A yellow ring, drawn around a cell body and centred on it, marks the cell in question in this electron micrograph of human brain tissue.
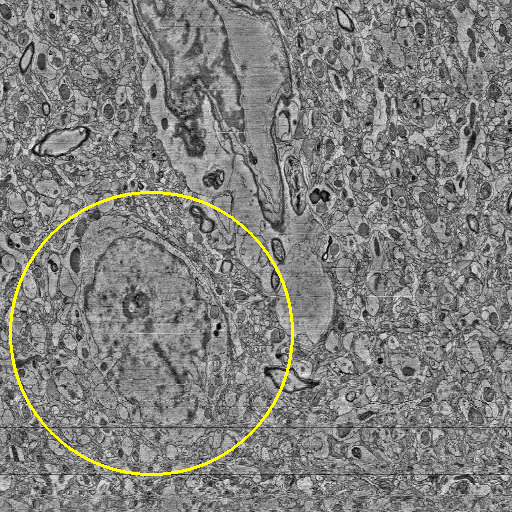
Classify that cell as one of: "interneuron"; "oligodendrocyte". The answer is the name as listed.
interneuron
